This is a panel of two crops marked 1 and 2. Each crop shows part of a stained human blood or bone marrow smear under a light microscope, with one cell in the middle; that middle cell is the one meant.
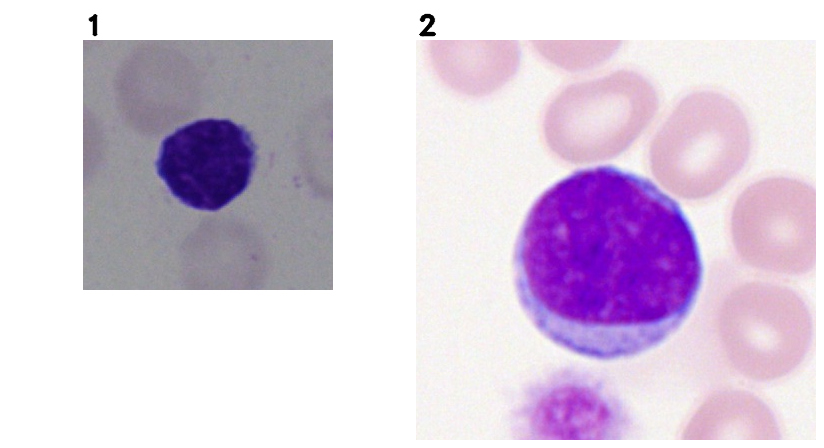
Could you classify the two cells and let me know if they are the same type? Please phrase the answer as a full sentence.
No, it is crop 1 that shows a lymphocyte, and crop 2 that shows a blast.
